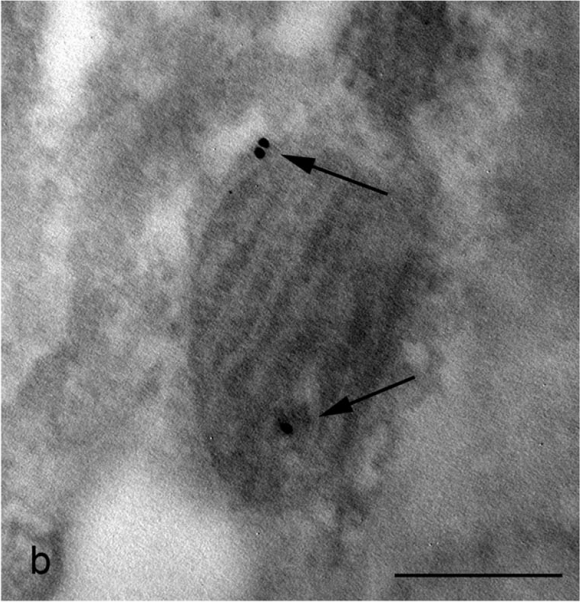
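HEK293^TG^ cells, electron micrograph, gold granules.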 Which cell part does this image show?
Mitochondrion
